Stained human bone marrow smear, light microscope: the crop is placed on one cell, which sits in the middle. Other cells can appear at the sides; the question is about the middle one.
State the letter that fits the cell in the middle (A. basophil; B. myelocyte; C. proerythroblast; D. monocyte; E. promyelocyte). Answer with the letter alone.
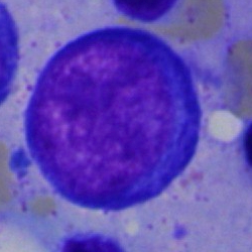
C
